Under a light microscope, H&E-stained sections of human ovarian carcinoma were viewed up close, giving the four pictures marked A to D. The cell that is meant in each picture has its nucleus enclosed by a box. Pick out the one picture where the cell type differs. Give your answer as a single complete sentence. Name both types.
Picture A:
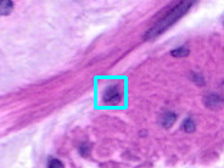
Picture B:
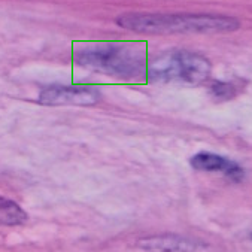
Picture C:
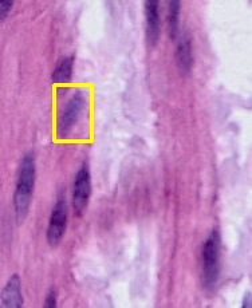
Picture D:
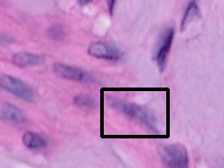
Picture B differs, because its cell is a fibroblast and the rest are smooth muscle cells.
